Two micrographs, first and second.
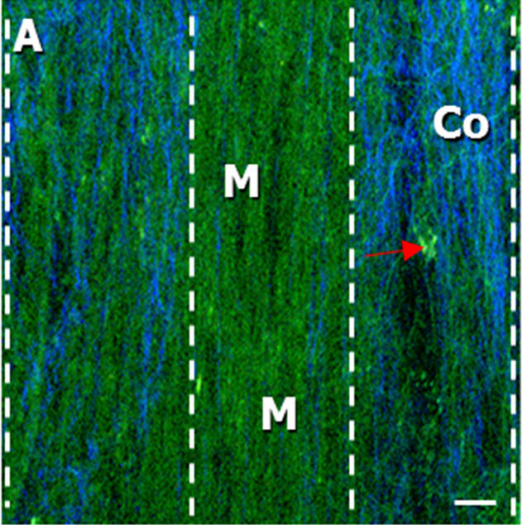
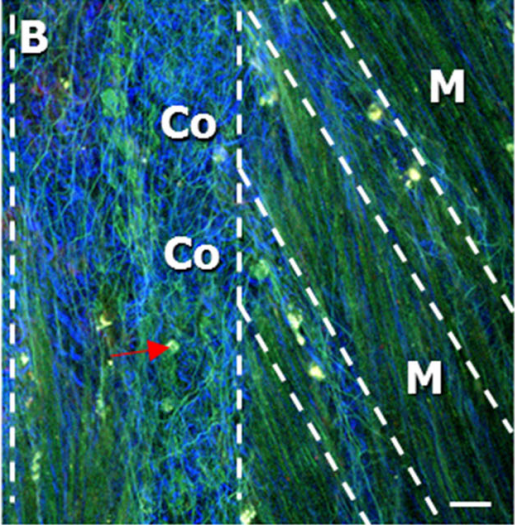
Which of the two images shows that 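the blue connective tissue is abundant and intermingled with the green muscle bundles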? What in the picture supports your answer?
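The second image. Second image: a dense blue meshwork of fibres covers much of the field and runs between green bundles.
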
